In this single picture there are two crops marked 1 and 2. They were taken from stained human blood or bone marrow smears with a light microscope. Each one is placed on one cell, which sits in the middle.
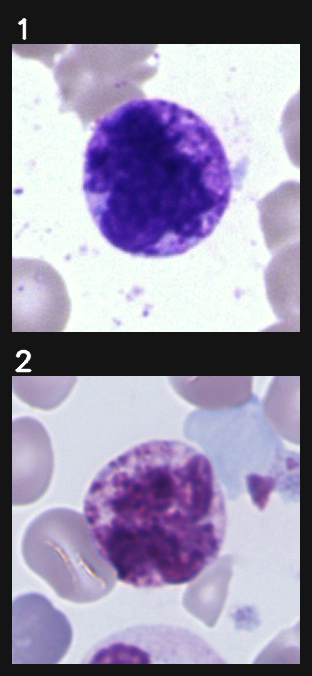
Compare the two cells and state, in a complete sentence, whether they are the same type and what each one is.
Yes, what both crops show is basophils.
